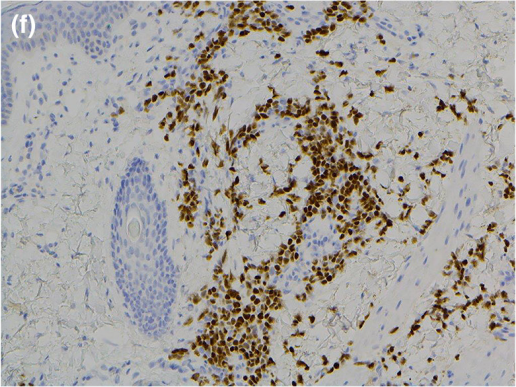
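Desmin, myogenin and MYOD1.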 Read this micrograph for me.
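Here small tumour cells infiltrating the dermis show strong brown nuclear staining, gathered in clusters and strands. A hair follicle on the left is left entirely unstained and pale blue, as is the overlying epidermis at the top.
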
